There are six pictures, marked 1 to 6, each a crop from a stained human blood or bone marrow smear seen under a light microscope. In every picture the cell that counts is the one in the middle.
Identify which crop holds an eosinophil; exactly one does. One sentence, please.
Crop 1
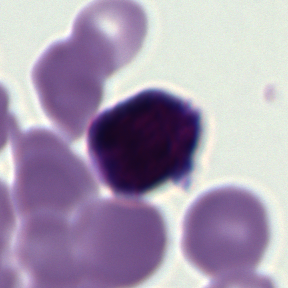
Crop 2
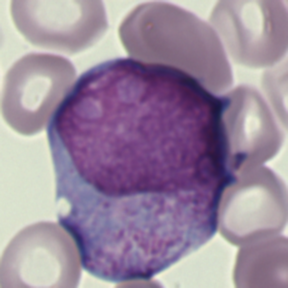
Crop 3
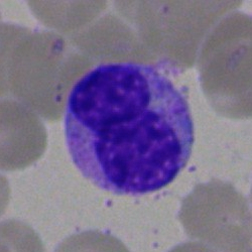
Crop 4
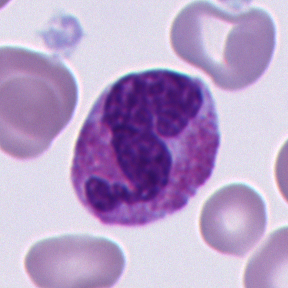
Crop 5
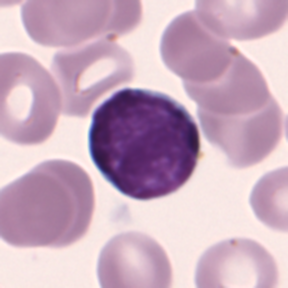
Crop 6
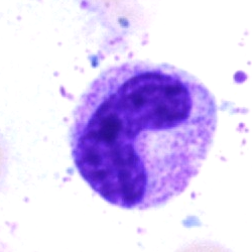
The crop marked 4 is the one in which an eosinophil is shown.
